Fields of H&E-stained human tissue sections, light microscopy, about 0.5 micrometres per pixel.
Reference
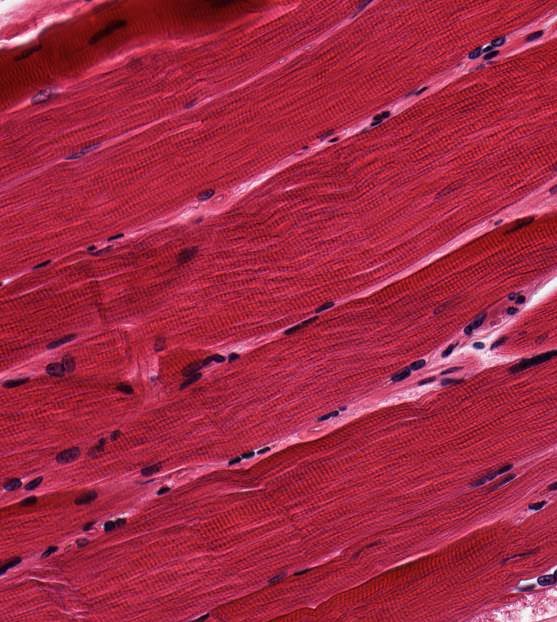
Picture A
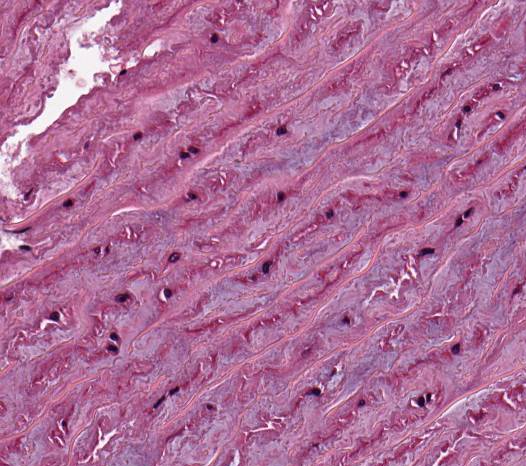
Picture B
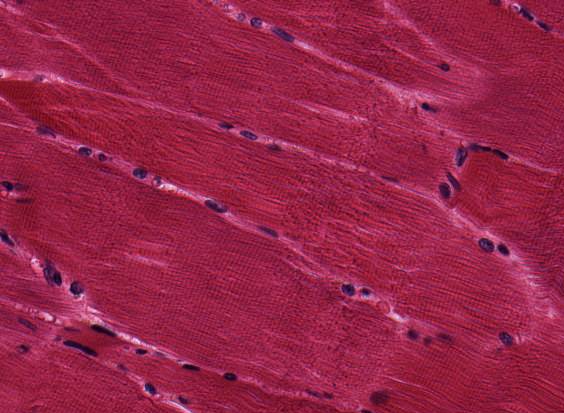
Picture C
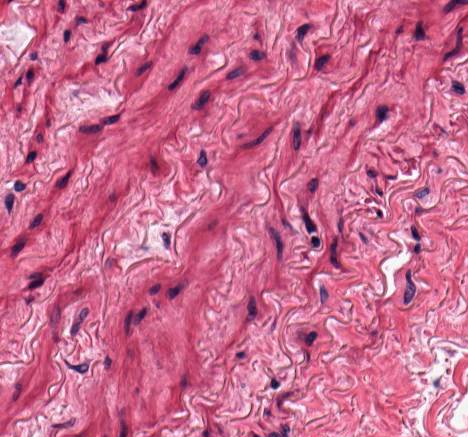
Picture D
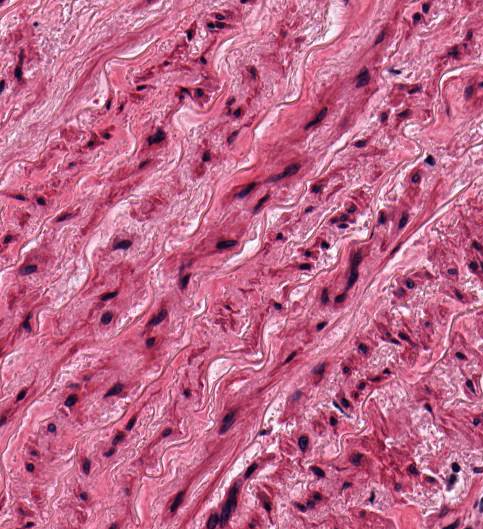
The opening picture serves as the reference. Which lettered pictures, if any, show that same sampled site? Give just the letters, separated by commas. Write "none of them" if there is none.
B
